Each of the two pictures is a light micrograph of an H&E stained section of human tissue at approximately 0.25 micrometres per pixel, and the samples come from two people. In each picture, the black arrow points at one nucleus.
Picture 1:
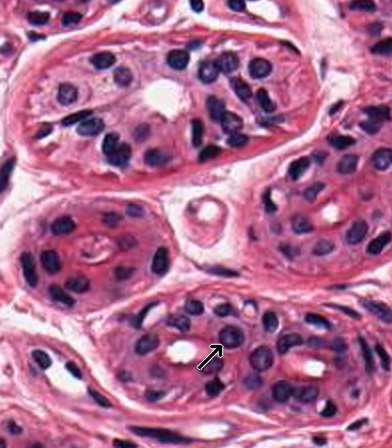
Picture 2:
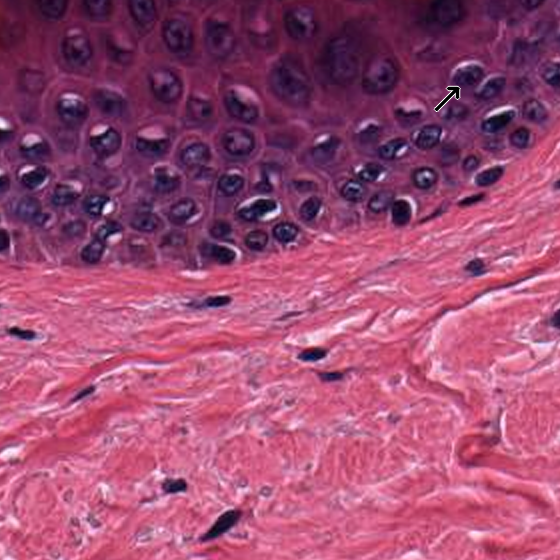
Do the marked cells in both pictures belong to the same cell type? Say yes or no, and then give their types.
No, the first is a sweat gland cell and the second a keratinocyte.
